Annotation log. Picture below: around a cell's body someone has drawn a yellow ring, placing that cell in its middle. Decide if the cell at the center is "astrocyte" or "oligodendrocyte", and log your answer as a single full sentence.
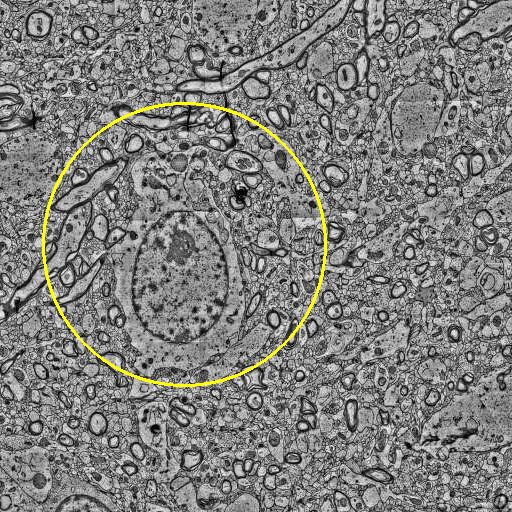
My entry records an astrocyte as the cell sitting at the center of the yellow ring.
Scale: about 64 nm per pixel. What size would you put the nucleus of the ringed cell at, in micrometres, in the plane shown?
About 9 by 6 micrometres in this plane.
